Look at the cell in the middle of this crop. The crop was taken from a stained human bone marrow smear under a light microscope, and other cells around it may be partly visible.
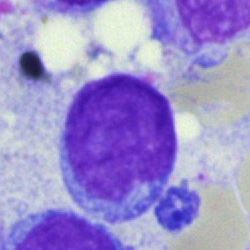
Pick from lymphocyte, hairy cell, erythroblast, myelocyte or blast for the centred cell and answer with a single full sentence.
The cell in the middle of this crop is a blast.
